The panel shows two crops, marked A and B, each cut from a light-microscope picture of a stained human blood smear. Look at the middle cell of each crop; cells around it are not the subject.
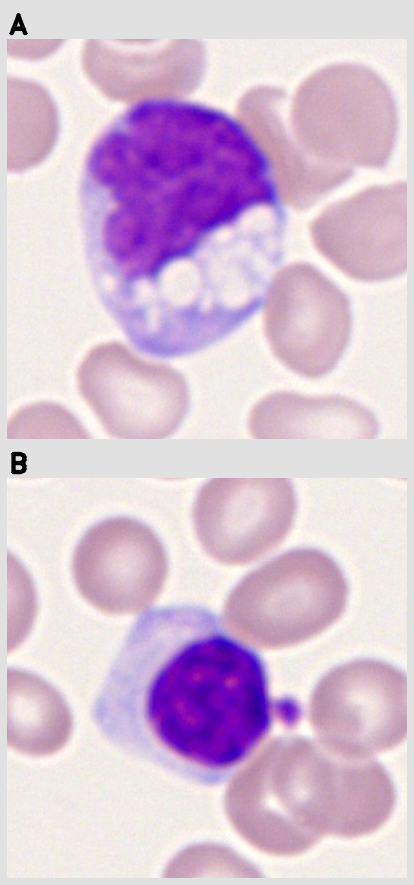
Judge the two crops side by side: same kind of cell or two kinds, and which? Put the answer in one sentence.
No, on this set crop A shows a monocyte and crop B shows a lymphocyte.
